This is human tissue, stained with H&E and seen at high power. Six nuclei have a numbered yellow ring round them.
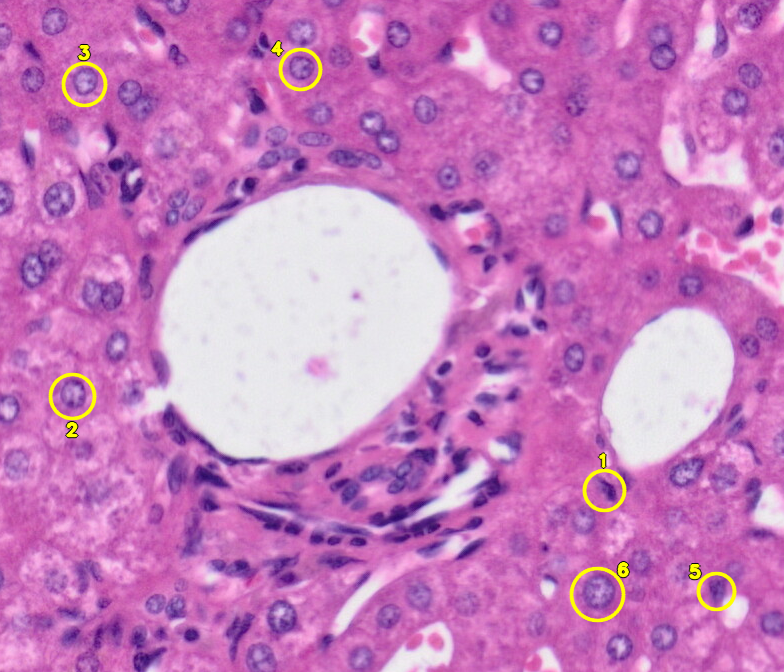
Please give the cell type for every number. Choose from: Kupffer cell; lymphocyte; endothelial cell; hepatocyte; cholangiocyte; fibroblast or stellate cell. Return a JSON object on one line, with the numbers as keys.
{"1": "fibroblast or stellate cell", "2": "hepatocyte", "3": "hepatocyte", "4": "hepatocyte", "5": "fibroblast or stellate cell", "6": "hepatocyte"}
